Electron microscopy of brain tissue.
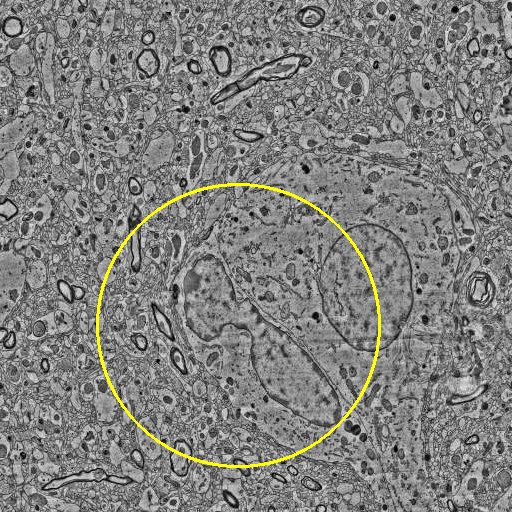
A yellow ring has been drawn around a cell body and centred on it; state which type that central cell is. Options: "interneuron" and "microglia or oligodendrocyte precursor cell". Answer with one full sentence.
The cell at the middle of the yellow ring is a microglial cell or oligodendrocyte precursor cell in this picture.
